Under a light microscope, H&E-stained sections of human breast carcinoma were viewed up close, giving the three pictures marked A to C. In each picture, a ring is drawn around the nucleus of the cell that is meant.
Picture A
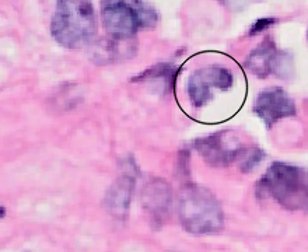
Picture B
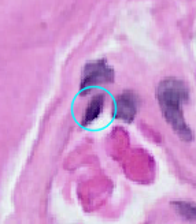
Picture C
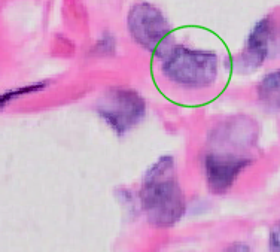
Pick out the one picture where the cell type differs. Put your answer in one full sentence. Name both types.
Unlike the rest, which show carcinoma cells, picture B shows an endothelial cell.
